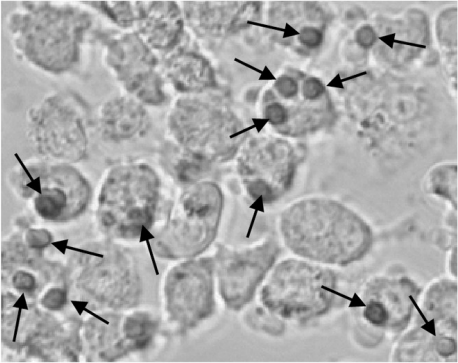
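The macrophages are large, rounded to polygonal cells with granular cytoplasm, crowded against one another. Within several of them lie small, round, smooth, dark bodies, much smaller than the macrophages, sometimes one and sometimes two or three in a single cell.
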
